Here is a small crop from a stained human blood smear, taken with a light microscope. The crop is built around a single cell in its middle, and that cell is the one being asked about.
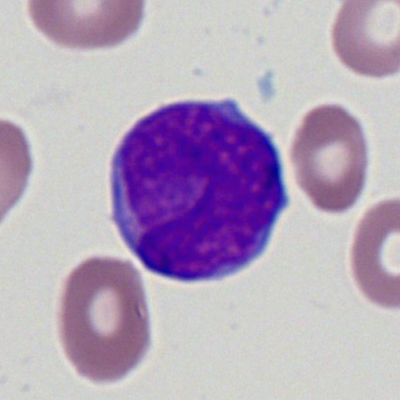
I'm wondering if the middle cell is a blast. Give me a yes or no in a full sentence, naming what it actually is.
Yes, as regards the cell in the middle, it is a blast.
